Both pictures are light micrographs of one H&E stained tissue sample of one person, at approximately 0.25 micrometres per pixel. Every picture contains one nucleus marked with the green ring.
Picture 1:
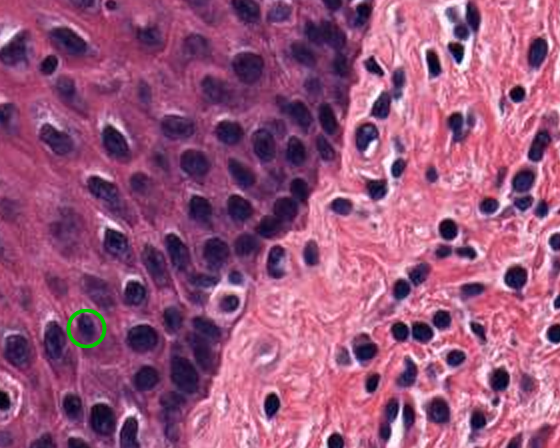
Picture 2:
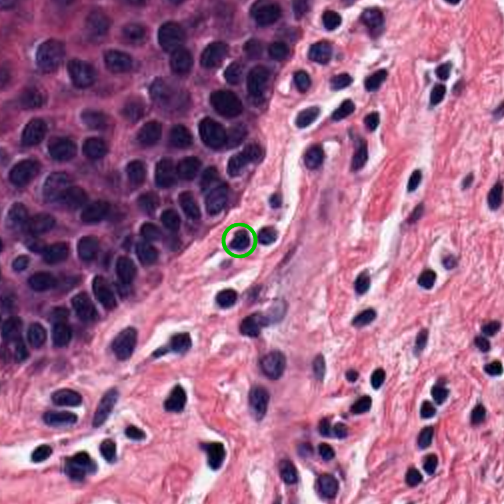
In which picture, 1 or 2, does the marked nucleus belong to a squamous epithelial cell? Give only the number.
1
